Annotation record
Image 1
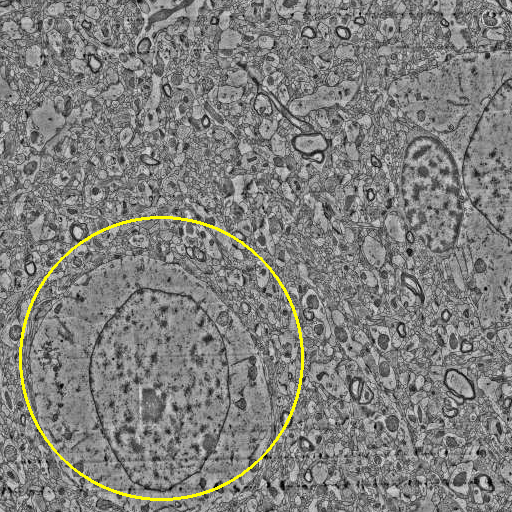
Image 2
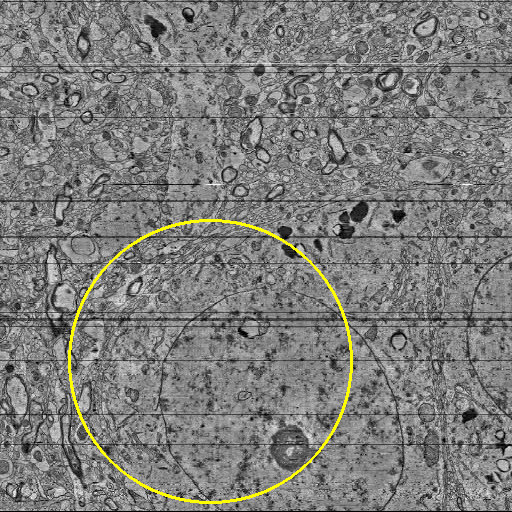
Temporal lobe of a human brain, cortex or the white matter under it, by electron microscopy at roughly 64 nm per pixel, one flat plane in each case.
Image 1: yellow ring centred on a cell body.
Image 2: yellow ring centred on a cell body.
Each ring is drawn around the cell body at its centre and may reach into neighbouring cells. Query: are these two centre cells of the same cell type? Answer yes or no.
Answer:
yes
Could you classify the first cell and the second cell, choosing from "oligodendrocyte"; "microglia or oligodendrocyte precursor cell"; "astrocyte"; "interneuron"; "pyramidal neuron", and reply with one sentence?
The second cell is a pyramidal neuron, just as the first is.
